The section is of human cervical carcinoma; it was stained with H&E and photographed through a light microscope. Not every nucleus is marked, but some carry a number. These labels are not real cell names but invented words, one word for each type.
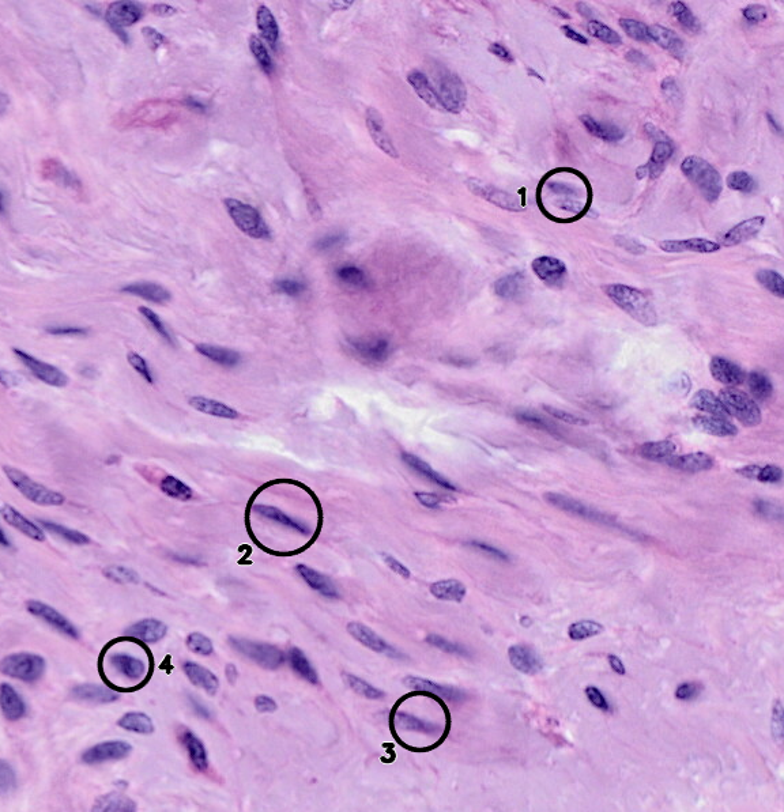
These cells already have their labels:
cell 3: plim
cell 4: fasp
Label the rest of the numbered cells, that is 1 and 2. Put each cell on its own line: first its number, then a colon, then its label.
1: fasp
2: fasp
